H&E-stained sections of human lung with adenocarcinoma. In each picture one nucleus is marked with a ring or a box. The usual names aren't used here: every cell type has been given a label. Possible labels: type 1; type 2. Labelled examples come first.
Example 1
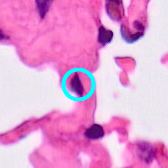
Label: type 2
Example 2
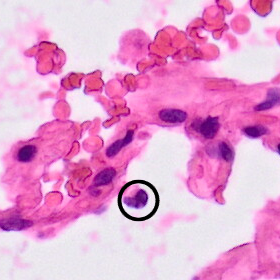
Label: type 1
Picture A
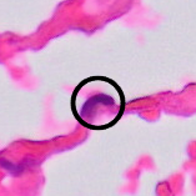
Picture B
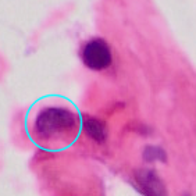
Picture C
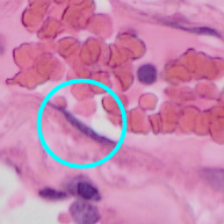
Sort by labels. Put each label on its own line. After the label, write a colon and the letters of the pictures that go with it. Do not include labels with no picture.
type 1: A, B
type 2: C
